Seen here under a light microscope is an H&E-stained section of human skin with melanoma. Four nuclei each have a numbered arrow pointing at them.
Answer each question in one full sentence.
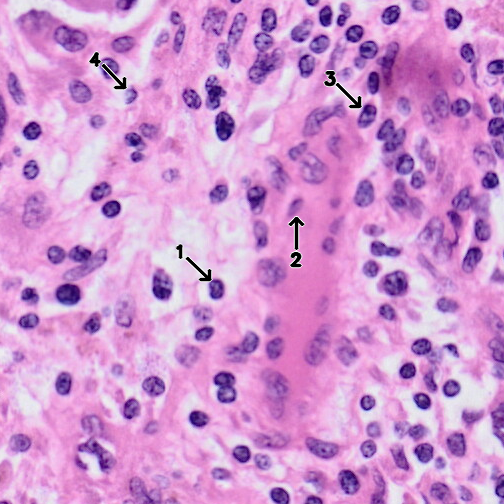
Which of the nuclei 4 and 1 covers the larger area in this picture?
Nucleus 1 is larger, with an area about 1.5 times that of nucleus 4.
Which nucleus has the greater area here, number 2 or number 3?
It is nucleus 3, which covers about 2 times the area of nucleus 2.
